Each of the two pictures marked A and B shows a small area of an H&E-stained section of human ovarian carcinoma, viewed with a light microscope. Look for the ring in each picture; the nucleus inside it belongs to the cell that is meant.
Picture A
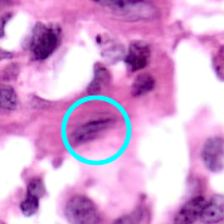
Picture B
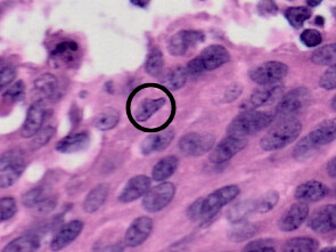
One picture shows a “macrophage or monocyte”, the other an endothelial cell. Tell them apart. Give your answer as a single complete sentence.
It is picture A that shows an endothelial cell, and picture B that shows a “macrophage or monocyte”.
